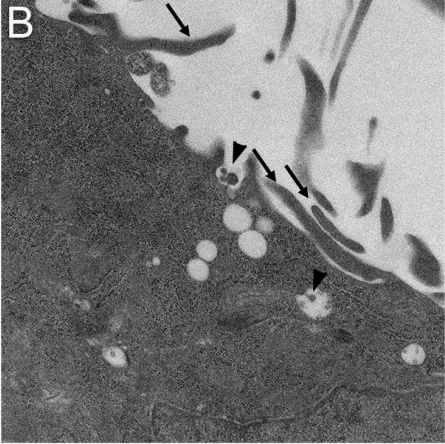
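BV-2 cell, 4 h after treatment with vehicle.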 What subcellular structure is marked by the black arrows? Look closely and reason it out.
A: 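Cytoplasmic protrusions. Elongated, finger-like dense extensions project from the cell surface into the clear extracellular space. They have the same grey density as the cytoplasm.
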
